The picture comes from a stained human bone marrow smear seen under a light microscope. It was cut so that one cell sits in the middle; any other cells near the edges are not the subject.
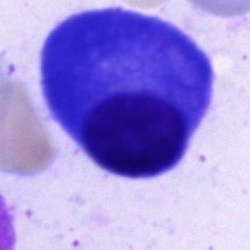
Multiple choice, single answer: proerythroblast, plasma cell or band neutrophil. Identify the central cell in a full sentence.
The cell of interest, in the center, is a plasma cell.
